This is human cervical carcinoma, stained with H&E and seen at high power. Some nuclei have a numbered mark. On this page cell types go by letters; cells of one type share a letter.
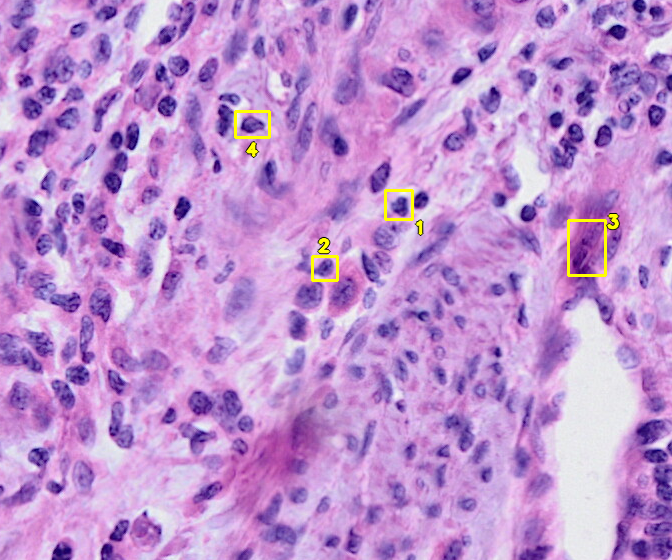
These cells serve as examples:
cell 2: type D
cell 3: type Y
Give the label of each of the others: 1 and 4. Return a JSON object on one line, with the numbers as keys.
{"1": "type D", "4": "type D"}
